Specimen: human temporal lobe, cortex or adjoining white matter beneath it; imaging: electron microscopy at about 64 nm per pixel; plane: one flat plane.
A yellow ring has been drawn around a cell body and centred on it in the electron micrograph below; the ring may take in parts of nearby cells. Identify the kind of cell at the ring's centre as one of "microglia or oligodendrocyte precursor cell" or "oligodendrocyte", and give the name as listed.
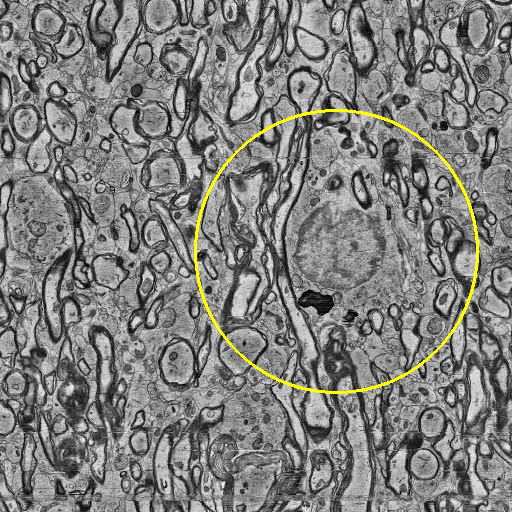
oligodendrocyte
